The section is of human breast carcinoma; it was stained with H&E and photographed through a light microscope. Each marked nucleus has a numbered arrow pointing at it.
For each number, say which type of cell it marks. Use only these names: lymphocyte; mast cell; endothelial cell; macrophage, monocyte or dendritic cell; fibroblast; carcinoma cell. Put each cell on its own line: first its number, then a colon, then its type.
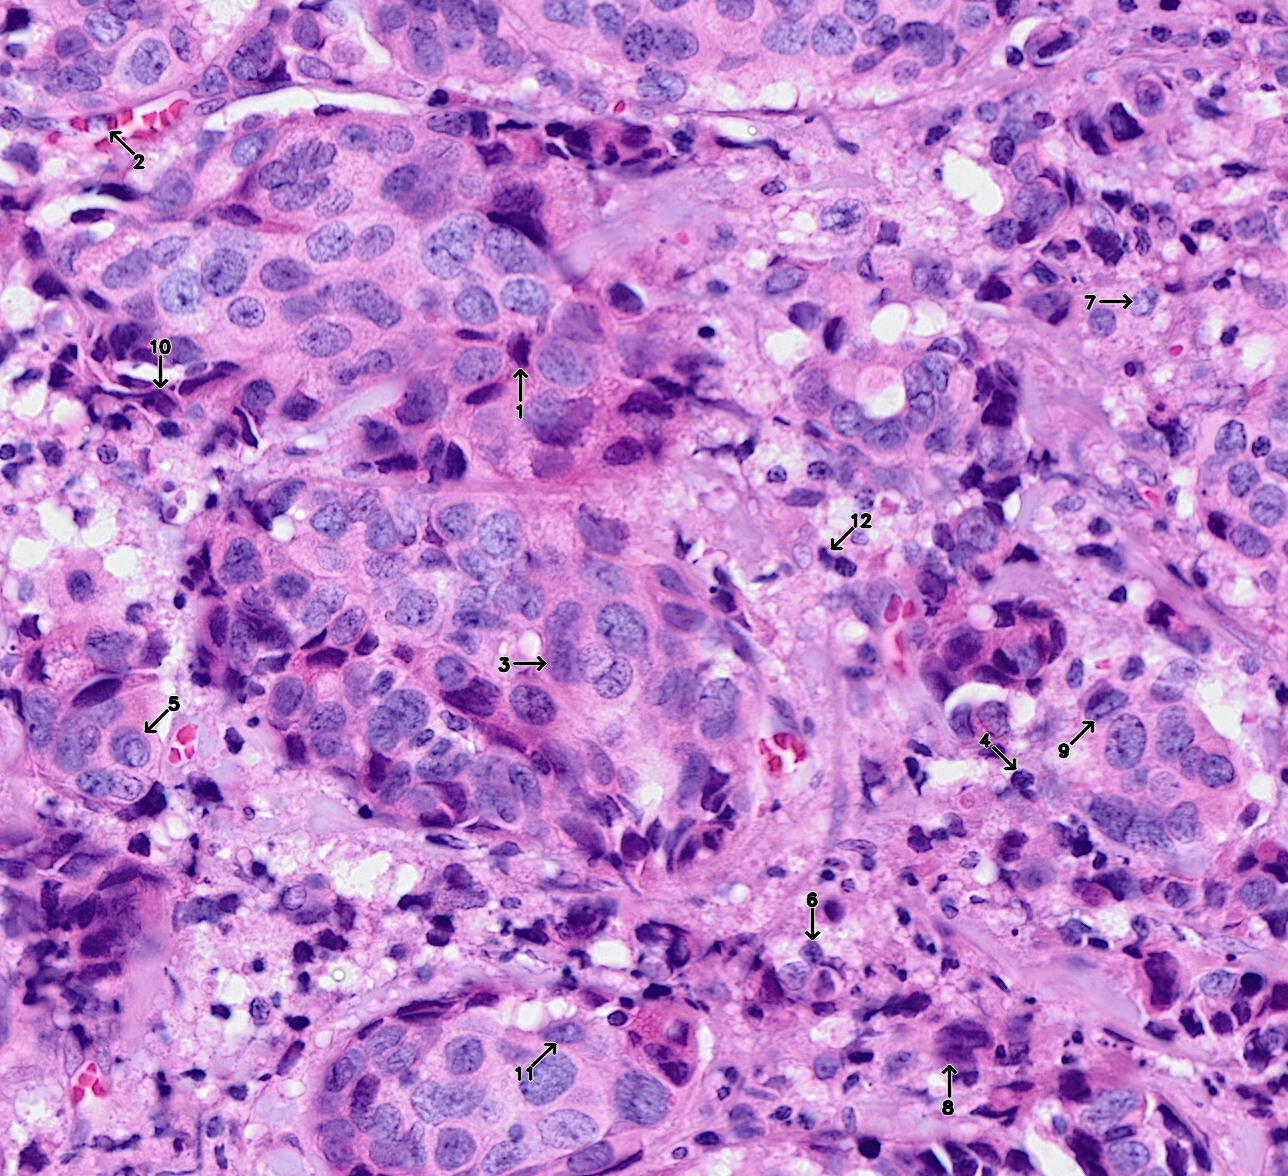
1: carcinoma cell
2: endothelial cell
3: carcinoma cell
4: lymphocyte
5: carcinoma cell
6: lymphocyte
7: macrophage, monocyte or dendritic cell
8: carcinoma cell
9: carcinoma cell
10: carcinoma cell
11: carcinoma cell
12: lymphocyte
